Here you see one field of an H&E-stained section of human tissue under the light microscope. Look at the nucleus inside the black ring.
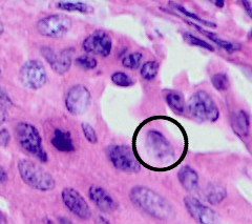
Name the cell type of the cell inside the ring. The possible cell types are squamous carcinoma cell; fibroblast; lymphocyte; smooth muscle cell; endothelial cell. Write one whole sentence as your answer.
It is a squamous carcinoma cell that the cell inside the ring represents.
